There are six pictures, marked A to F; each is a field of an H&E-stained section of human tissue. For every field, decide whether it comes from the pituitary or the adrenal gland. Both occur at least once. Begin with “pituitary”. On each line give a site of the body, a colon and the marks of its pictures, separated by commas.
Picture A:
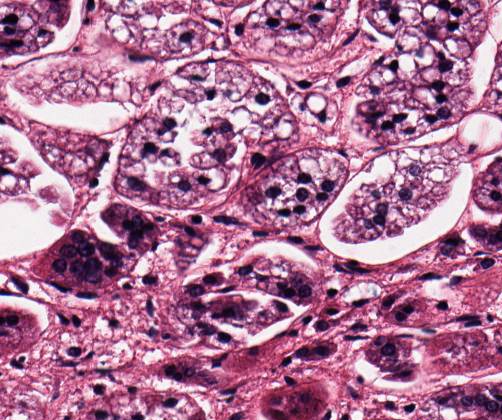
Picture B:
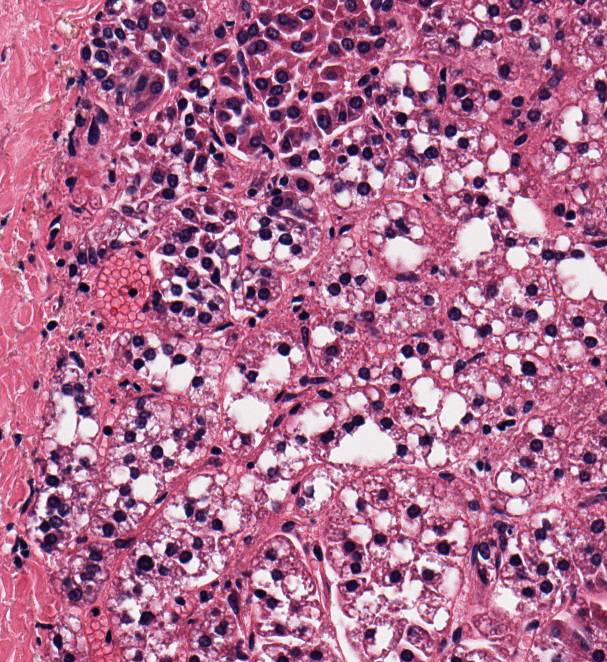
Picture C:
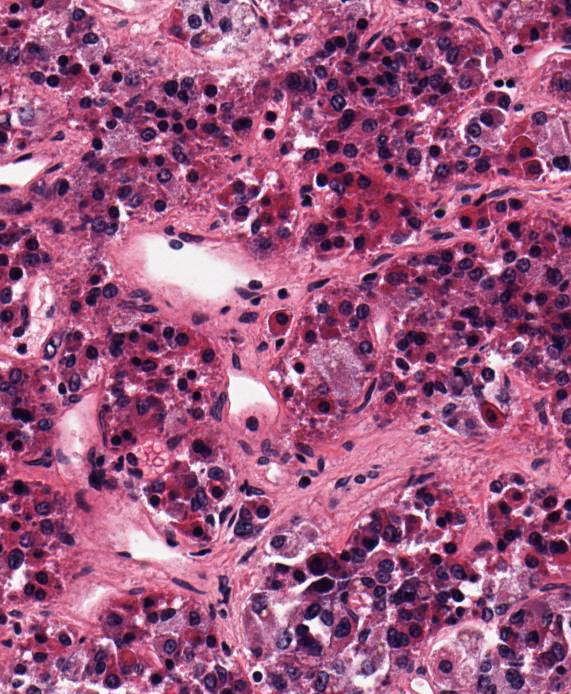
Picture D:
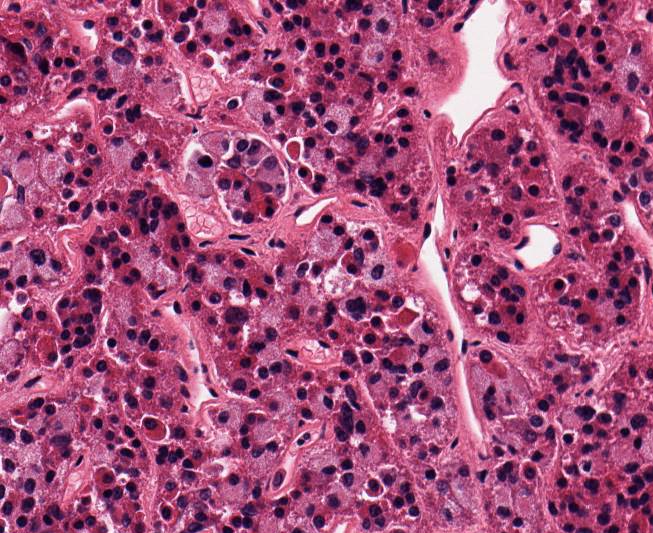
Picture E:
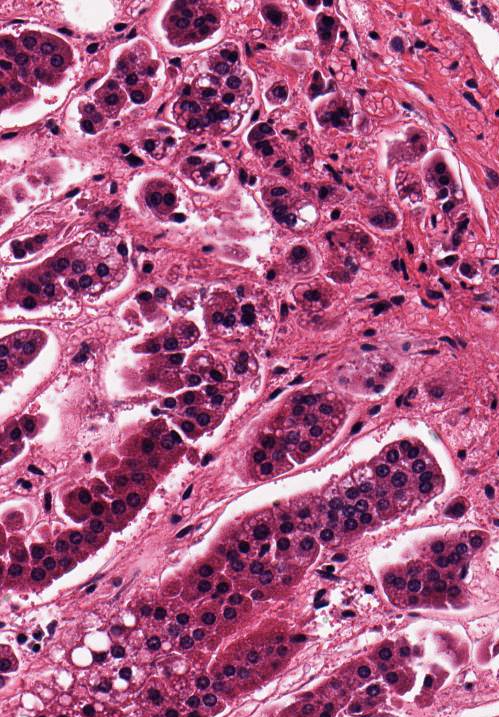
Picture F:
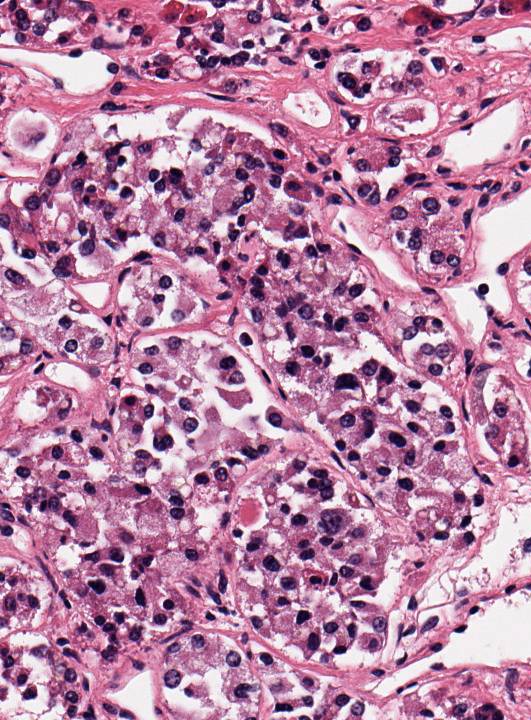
pituitary: C, D, F
adrenal gland: A, B, E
